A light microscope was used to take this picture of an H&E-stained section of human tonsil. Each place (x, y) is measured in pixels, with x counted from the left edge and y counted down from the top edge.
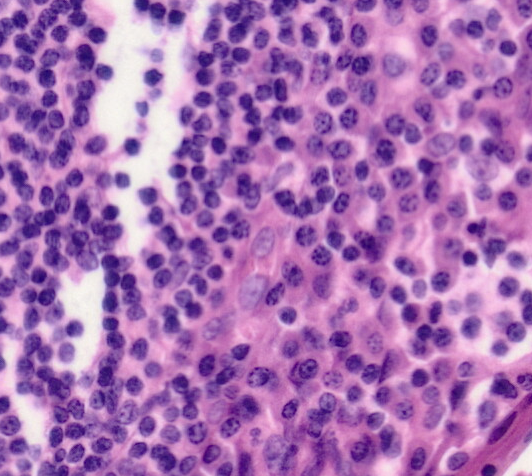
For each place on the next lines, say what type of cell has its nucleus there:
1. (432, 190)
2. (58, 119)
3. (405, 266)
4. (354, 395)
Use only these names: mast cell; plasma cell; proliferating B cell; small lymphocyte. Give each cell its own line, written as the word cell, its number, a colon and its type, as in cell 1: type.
cell 1: plasma cell
cell 2: small lymphocyte
cell 3: plasma cell
cell 4: plasma cell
